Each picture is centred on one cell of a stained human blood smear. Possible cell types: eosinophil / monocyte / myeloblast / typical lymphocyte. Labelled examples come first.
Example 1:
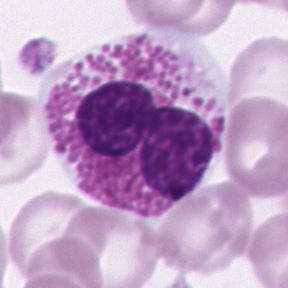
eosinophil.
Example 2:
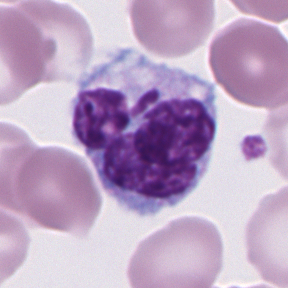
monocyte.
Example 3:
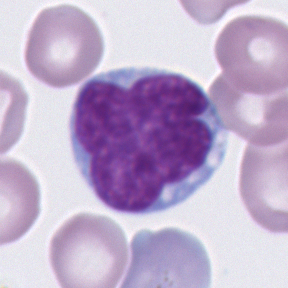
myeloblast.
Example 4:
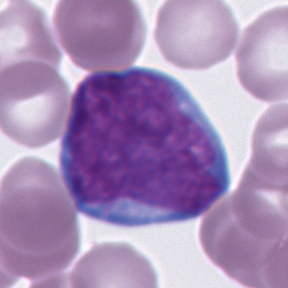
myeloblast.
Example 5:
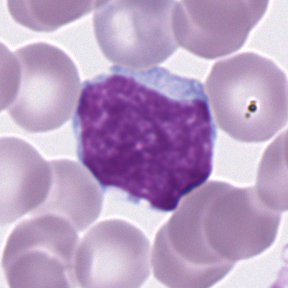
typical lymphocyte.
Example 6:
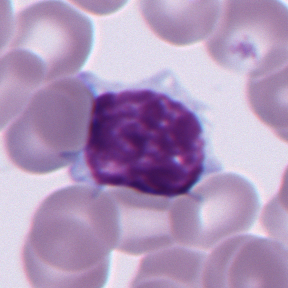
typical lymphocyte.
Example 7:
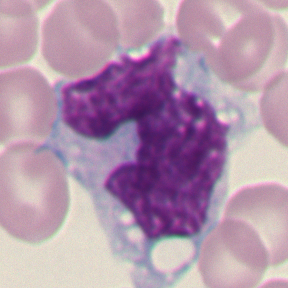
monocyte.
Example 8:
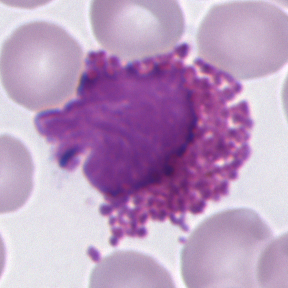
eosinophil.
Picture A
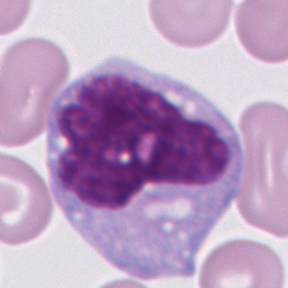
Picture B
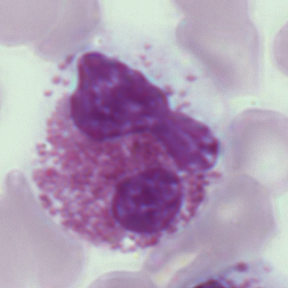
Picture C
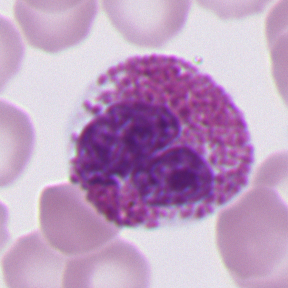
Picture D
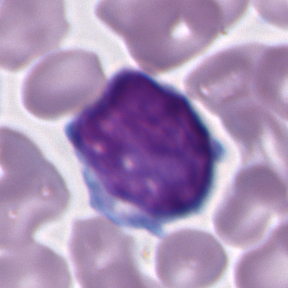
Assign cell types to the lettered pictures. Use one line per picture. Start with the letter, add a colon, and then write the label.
A: monocyte.
B: eosinophil.
C: eosinophil.
D: myeloblast.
